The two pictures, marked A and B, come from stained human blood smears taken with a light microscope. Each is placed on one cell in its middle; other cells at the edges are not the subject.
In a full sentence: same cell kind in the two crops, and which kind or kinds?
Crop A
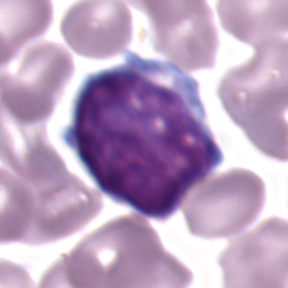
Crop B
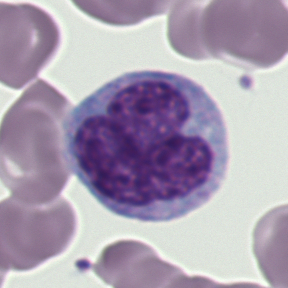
No, crop A corresponds to a myeloblast, while crop B corresponds to a monocyte.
